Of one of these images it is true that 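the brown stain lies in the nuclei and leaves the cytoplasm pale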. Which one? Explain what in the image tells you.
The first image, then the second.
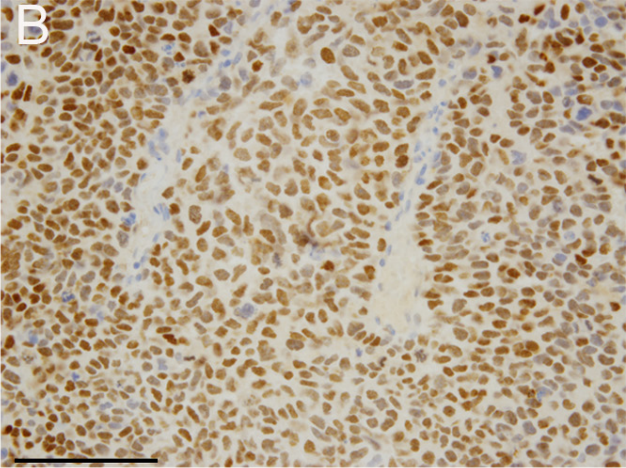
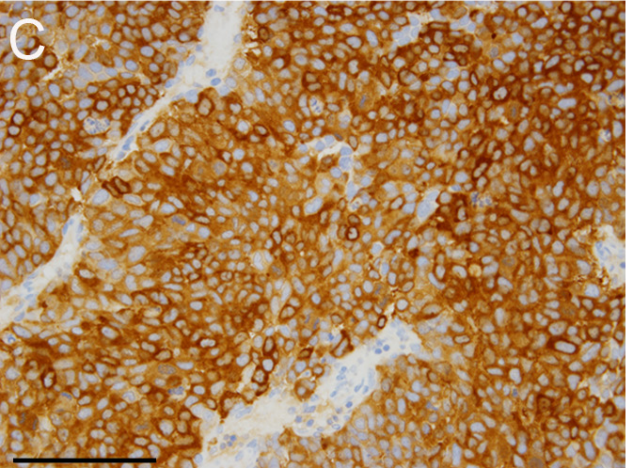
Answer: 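The first image. Second image: brown stain fills the cytoplasm while the nuclei stay pale blue. First image: brown stain fills oval nuclei with pale spaces between them.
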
